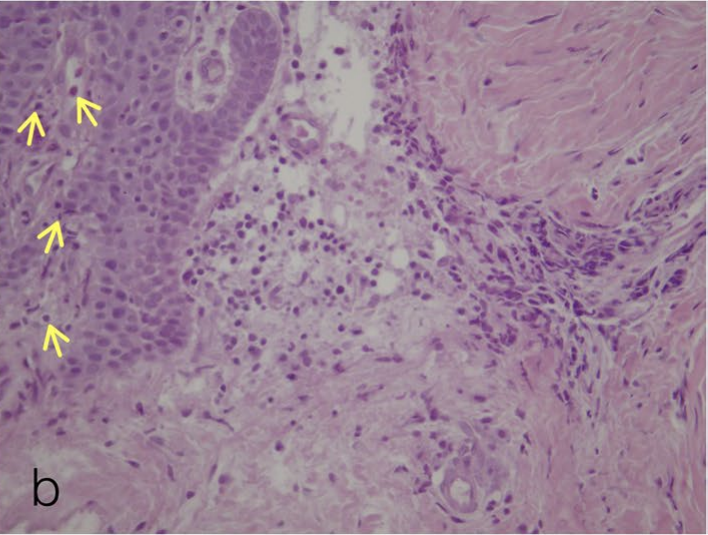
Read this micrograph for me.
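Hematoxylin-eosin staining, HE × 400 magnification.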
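A strand of epithelium runs down the left of the field, surrounded by loose connective tissue that contains scattered inflammatory cells. The epithelial cells are closely packed, with purple cytoplasm and oval nuclei, and the cells at the border of the strand stain more darkly. Within the epithelium lie a few small cells with compact, dark nuclei. These are inflammatory cells that have entered the epithelial layer. To the right, the connective tissue holds many small round nuclei in a pale, loose stroma, with small vessels and bands of pink collagen further out.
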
